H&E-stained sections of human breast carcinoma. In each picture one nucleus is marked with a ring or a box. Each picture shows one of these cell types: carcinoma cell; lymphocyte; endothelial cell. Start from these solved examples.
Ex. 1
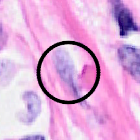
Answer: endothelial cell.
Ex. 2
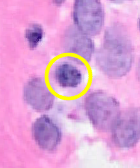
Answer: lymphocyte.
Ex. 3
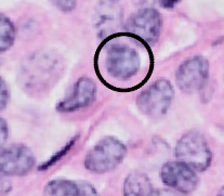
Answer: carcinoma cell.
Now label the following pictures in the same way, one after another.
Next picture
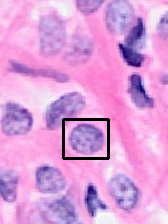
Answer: carcinoma cell.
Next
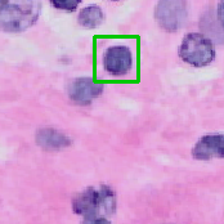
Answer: lymphocyte.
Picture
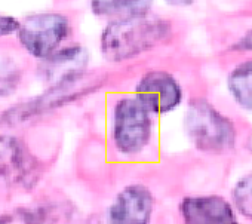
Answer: carcinoma cell.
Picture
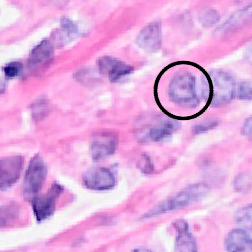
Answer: carcinoma cell.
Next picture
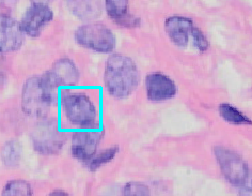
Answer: carcinoma cell.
